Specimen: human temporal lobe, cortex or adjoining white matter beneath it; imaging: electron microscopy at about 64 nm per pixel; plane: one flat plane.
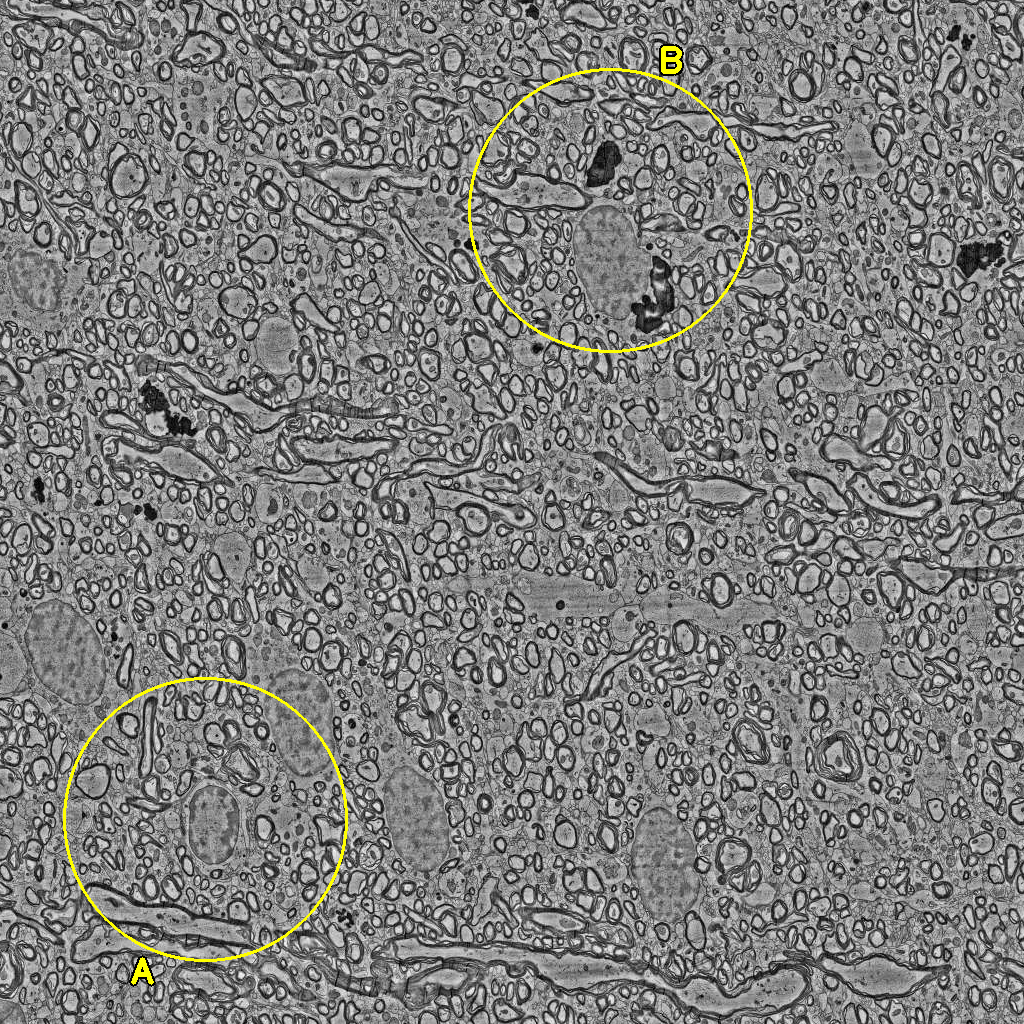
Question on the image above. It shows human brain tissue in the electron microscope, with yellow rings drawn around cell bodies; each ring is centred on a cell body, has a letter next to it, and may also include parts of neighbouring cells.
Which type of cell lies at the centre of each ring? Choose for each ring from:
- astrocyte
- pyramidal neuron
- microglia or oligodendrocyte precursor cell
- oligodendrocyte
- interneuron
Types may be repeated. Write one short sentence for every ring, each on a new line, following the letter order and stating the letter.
Ring A has been drawn around a microglial cell or oligodendrocyte precursor cell.
Ring B has been drawn around an oligodendrocyte.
